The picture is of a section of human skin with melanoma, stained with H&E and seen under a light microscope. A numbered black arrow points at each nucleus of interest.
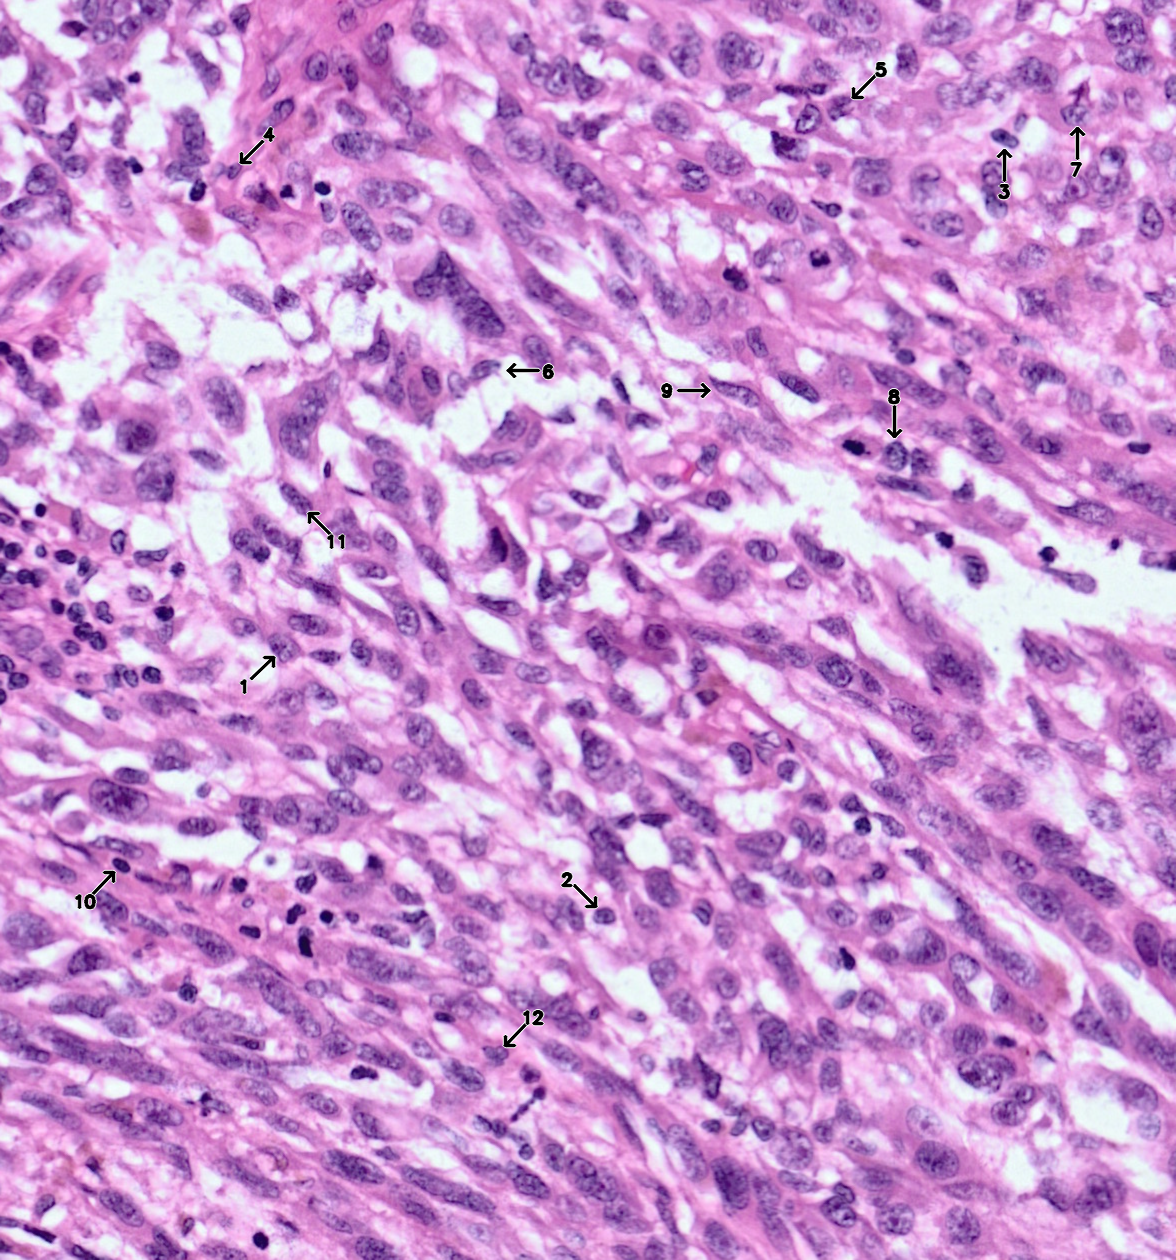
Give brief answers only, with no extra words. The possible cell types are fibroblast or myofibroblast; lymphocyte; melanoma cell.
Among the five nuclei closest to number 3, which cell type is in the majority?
melanoma cell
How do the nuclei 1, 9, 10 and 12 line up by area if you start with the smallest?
10, 12, 1, 9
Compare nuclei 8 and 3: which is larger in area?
8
